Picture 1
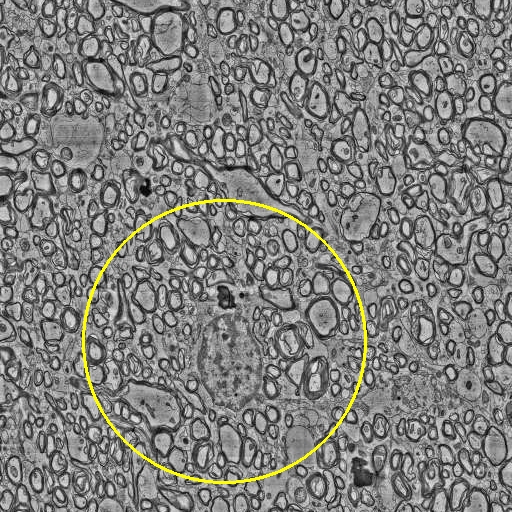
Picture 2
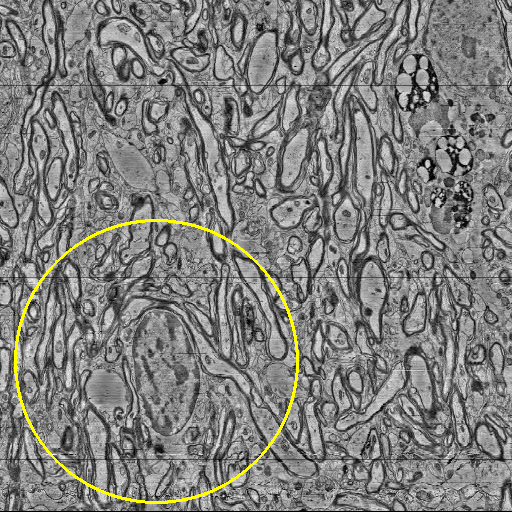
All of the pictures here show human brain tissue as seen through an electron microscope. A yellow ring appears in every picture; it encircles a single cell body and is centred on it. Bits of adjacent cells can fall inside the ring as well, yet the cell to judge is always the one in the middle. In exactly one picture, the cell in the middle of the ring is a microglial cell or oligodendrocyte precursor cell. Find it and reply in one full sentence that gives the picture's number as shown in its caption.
Of all the pictures, picture 2 has the right cell at the centre of its ring.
